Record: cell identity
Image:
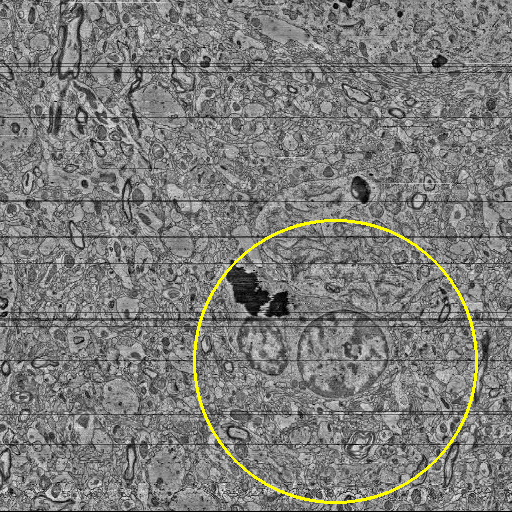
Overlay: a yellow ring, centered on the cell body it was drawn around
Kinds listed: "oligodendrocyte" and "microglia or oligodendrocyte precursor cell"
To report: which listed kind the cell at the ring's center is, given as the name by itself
oligodendrocyte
